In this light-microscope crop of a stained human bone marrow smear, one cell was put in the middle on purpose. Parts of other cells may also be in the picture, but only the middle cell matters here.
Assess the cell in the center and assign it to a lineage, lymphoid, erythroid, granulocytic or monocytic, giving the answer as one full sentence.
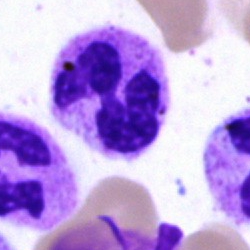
Our central cell here is part of the granulocytic lineage.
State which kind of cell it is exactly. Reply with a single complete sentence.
The centrally placed cell is classified as a segmented neutrophil.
